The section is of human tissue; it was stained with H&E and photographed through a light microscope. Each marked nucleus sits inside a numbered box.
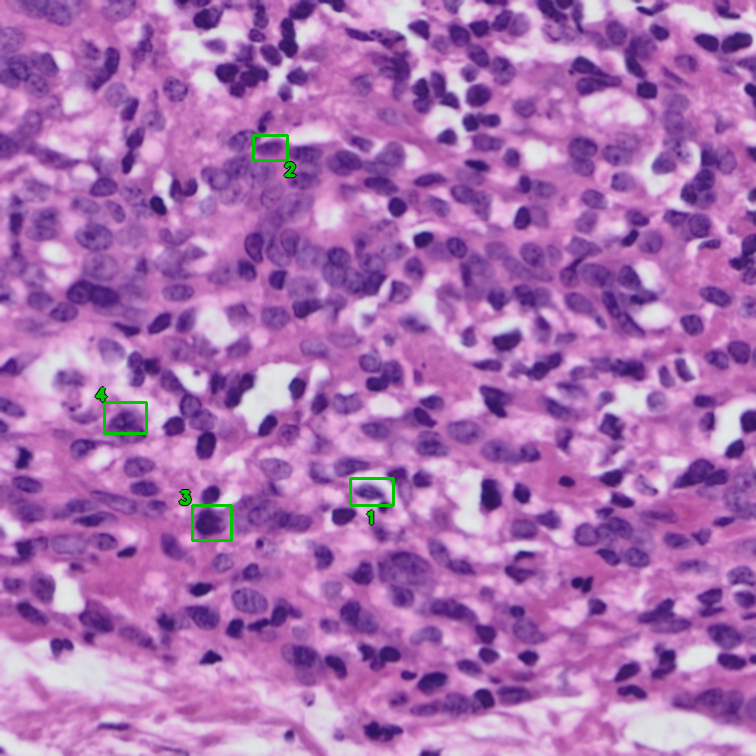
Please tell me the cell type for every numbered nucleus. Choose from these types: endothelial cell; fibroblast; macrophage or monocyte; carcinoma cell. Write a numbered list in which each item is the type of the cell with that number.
1. macrophage or monocyte
2. carcinoma cell
3. carcinoma cell
4. carcinoma cell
